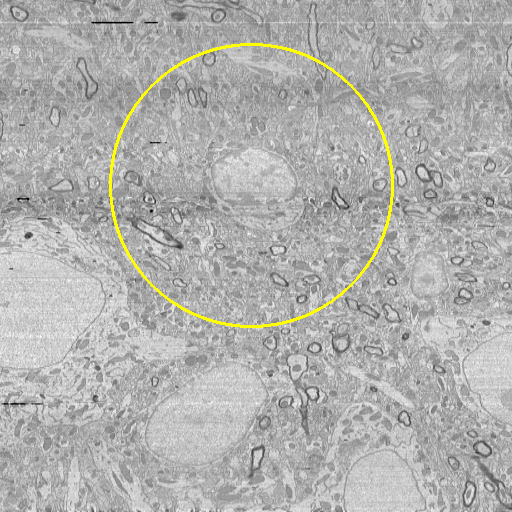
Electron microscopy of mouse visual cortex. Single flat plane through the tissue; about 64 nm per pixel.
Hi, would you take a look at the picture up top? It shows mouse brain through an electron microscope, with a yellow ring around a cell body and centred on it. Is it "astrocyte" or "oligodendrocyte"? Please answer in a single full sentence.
The best fit for the cell in the middle of the ring is an oligodendrocyte, I reckon.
